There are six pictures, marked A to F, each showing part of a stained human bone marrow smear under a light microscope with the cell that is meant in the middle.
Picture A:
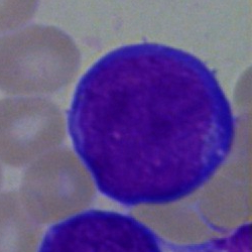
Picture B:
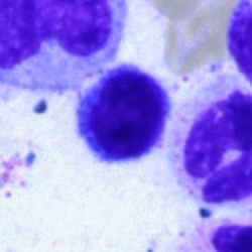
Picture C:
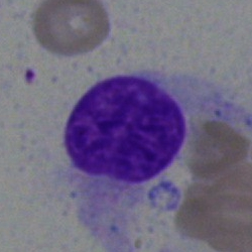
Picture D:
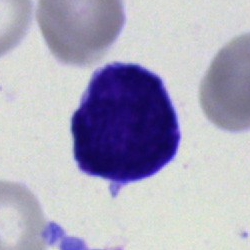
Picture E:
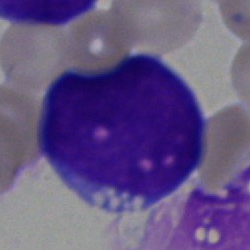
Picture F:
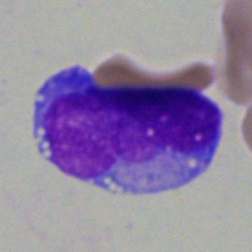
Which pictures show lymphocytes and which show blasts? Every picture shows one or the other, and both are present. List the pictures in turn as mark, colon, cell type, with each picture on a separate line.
A: blast
B: lymphocyte
C: lymphocyte
D: blast
E: blast
F: blast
